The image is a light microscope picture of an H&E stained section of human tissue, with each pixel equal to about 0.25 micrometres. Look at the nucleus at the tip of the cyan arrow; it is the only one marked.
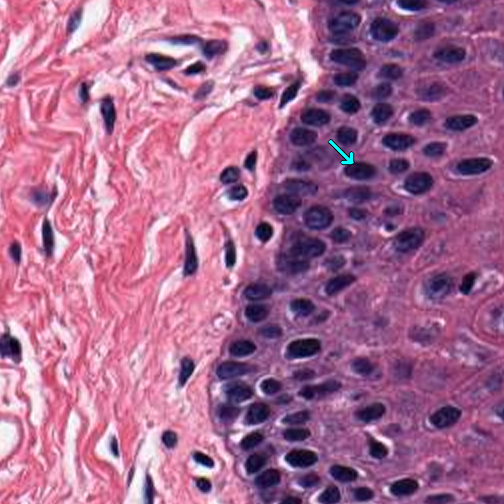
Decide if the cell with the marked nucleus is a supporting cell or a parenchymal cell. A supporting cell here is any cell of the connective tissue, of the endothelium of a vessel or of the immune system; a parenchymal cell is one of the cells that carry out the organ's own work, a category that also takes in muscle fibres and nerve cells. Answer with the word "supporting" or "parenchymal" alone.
parenchymal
